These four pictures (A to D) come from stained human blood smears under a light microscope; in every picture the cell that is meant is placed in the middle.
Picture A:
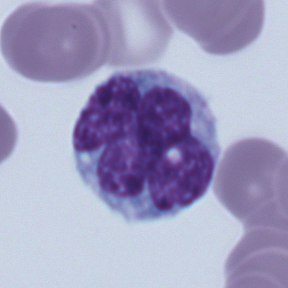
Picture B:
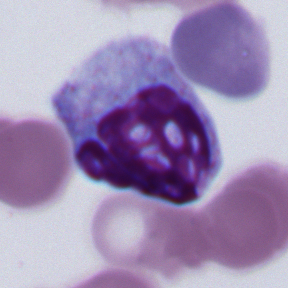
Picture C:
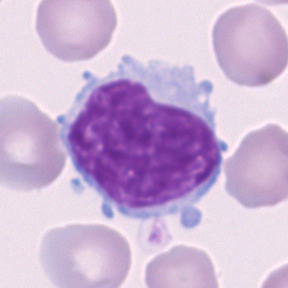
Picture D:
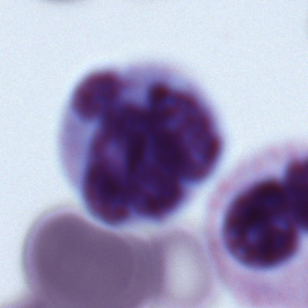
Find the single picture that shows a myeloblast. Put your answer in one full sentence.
Picture C is the one that shows the myeloblast.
